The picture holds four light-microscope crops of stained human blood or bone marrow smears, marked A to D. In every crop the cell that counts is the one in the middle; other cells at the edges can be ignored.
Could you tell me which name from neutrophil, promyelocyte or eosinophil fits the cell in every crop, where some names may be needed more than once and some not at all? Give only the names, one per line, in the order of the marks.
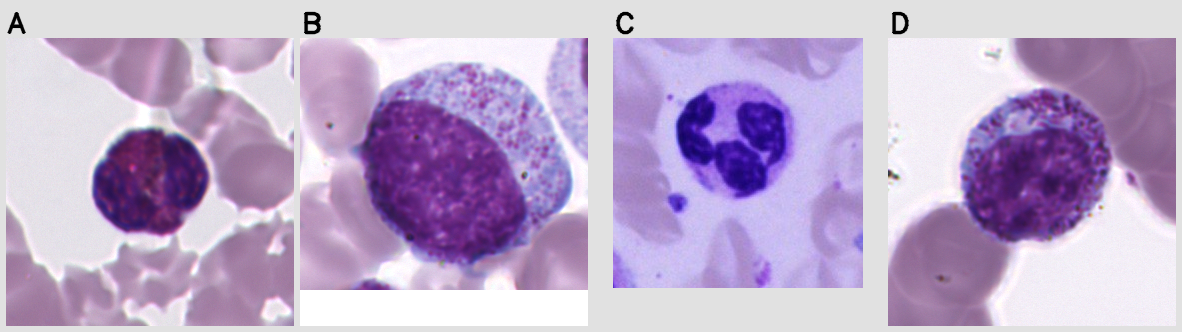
eosinophil
promyelocyte
neutrophil
promyelocyte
